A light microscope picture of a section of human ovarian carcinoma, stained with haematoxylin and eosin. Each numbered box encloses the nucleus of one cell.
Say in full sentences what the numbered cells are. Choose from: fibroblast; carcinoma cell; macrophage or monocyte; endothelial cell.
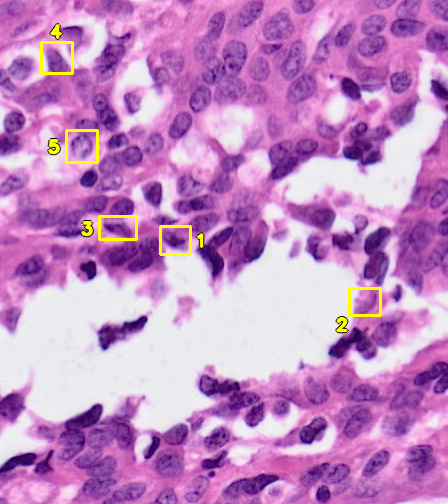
Cell 1 is a carcinoma cell, cell 2 is a macrophage or monocyte, cell 3 is a carcinoma cell, cell 4 is a carcinoma cell and cell 5 is a macrophage or monocyte.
